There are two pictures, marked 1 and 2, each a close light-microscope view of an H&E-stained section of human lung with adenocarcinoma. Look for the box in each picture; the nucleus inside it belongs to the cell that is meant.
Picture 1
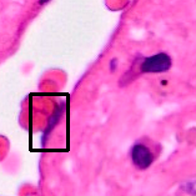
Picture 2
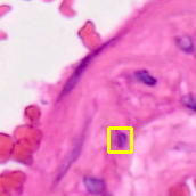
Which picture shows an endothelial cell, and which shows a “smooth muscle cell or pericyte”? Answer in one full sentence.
In picture 1 the cell is an endothelial cell; in picture 2, a “smooth muscle cell or pericyte”.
